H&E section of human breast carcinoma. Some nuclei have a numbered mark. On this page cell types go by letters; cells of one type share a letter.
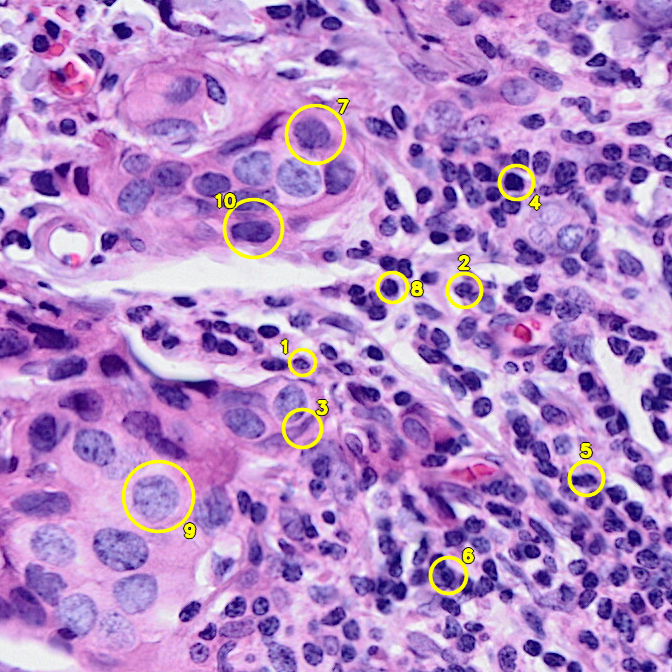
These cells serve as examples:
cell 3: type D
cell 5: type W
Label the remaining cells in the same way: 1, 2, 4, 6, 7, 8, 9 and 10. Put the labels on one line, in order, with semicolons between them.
type W; type W; type W; type W; type D; type W; type D; type D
